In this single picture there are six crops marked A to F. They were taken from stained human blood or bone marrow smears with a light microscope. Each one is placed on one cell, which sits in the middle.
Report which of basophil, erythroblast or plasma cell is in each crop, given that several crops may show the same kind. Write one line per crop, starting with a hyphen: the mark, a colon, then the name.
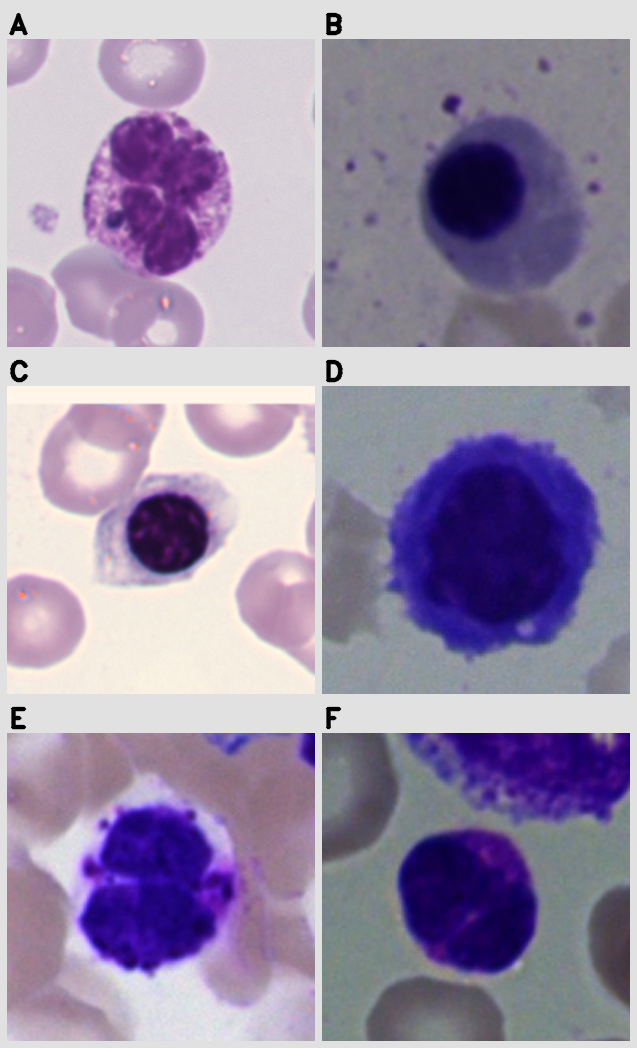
- A: basophil
- B: erythroblast
- C: erythroblast
- D: plasma cell
- E: basophil
- F: basophil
